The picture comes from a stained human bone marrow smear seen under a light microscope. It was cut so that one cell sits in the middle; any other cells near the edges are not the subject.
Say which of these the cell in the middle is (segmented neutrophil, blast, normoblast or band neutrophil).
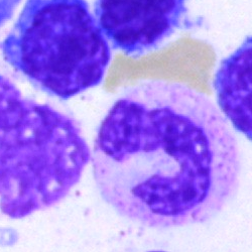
segmented neutrophil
